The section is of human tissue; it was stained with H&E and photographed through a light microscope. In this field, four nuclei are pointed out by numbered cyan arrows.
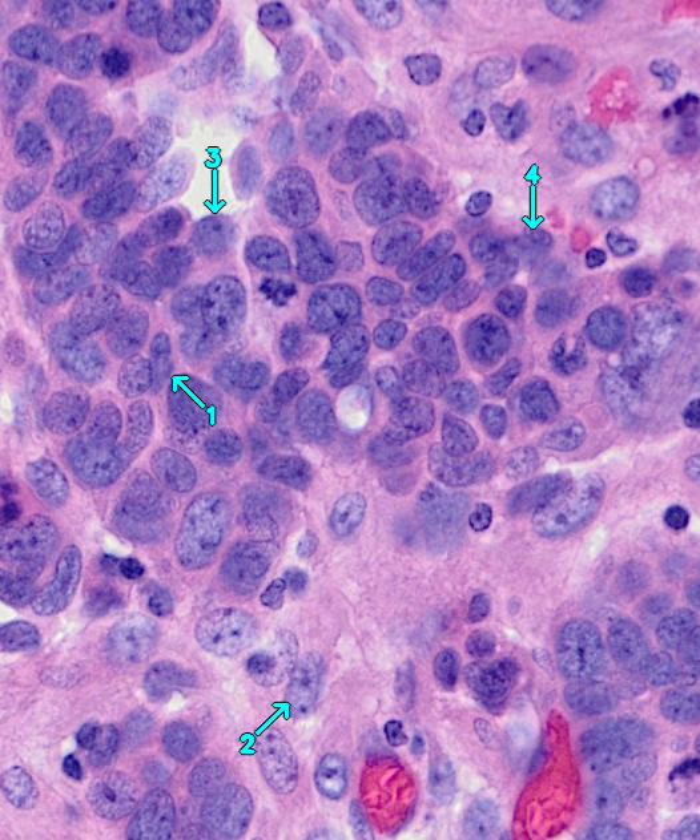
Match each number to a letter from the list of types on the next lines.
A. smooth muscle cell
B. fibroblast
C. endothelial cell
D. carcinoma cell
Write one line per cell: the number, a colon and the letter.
1: D
2: B
3: D
4: D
